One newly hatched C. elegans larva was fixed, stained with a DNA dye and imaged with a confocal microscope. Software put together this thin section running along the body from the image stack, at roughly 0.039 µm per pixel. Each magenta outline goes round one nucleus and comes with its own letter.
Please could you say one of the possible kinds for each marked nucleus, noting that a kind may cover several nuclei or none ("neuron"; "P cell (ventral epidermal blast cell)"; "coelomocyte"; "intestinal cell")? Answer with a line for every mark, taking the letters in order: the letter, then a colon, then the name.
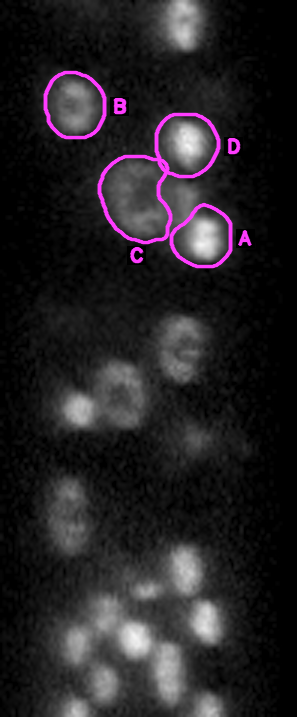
A: coelomocyte
B: P cell (ventral epidermal blast cell)
C: intestinal cell
D: coelomocyte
